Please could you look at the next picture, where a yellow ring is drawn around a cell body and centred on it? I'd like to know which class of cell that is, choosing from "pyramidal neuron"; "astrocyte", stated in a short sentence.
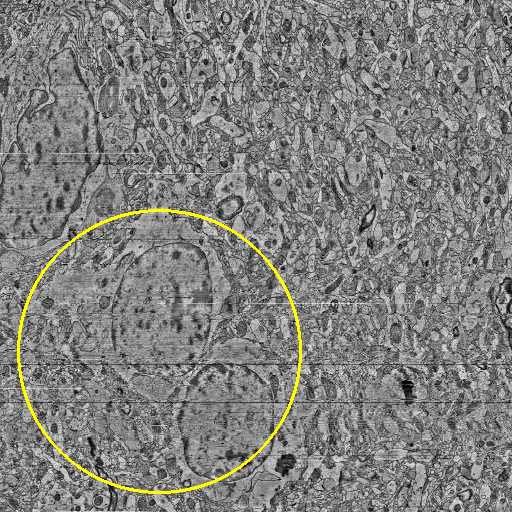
The ring's centre lies on an astrocyte.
